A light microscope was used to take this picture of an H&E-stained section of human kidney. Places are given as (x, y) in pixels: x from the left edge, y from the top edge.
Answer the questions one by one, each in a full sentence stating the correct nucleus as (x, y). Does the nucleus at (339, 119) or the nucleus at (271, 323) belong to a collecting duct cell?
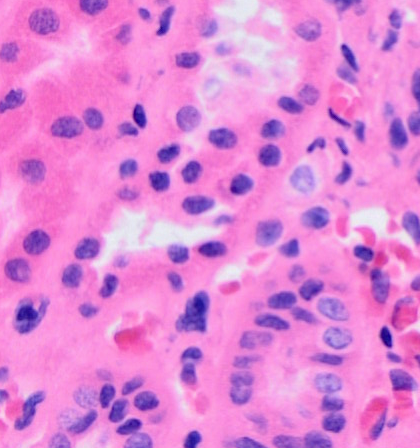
Among the two nuclei, the one lying at (271, 323) is part of a collecting duct cell.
